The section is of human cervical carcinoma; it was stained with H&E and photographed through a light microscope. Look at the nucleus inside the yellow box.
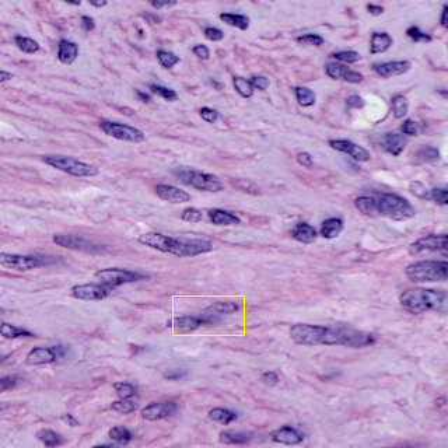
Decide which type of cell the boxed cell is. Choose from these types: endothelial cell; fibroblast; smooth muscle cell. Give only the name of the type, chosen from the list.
smooth muscle cell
